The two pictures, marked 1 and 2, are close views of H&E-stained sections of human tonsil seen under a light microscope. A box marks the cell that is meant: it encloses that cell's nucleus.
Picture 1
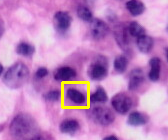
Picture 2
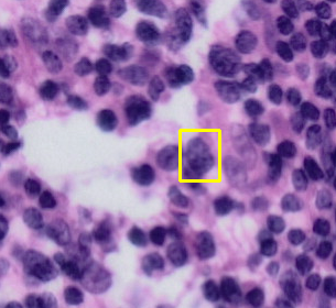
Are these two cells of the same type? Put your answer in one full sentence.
No, picture 1 shows a plasma cell and picture 2 shows a proliferating B cell.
